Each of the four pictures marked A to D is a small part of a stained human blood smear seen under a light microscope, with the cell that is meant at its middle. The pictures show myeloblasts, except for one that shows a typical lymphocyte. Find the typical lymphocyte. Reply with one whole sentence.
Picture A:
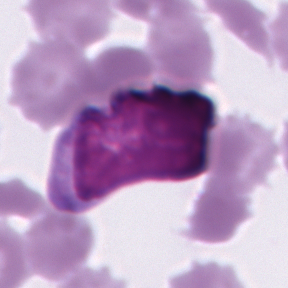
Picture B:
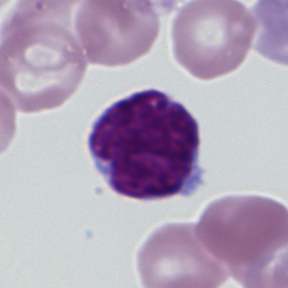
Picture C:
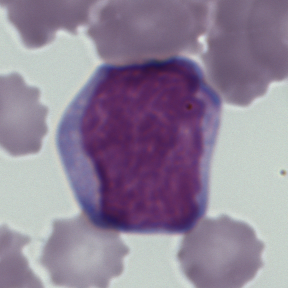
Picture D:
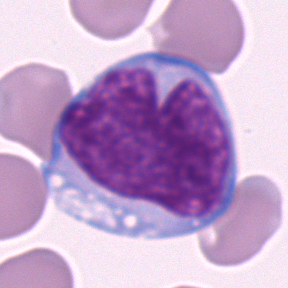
It is picture B that shows the typical lymphocyte.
